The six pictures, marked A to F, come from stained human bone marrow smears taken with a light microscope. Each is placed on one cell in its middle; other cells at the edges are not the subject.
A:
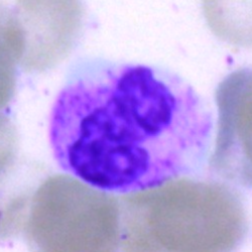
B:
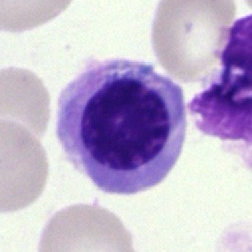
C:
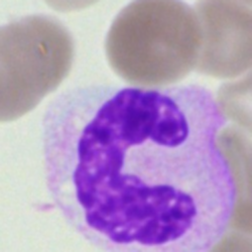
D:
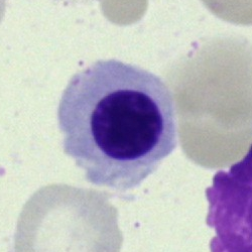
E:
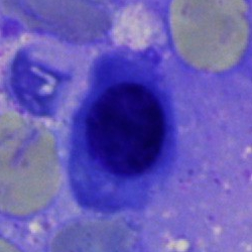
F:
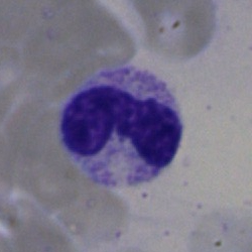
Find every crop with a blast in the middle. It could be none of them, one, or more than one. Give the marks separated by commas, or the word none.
none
